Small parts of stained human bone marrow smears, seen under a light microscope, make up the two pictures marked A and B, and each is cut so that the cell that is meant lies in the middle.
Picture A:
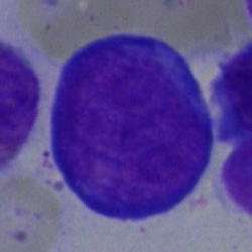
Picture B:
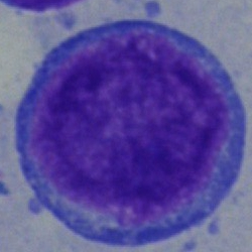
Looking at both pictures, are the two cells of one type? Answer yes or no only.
yes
